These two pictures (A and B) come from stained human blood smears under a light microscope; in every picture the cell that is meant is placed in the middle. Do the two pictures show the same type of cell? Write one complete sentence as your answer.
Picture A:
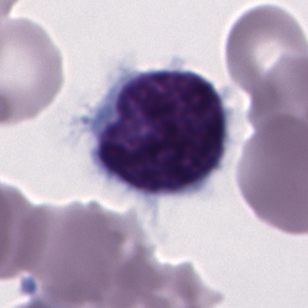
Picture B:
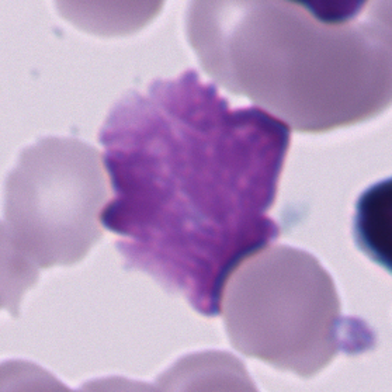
No, the types are not the same, since picture A shows a hairy cell and picture B a smudge cell.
